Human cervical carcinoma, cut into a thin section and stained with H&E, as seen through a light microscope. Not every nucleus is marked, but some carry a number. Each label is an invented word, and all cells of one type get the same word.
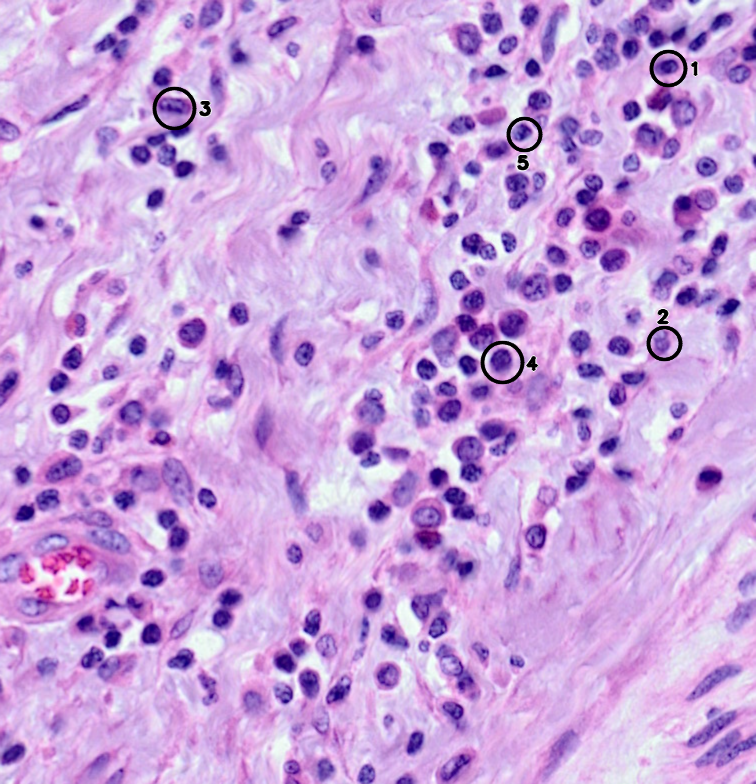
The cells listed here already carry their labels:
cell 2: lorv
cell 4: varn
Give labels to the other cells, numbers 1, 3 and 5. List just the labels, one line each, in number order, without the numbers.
varn
lorv
varn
